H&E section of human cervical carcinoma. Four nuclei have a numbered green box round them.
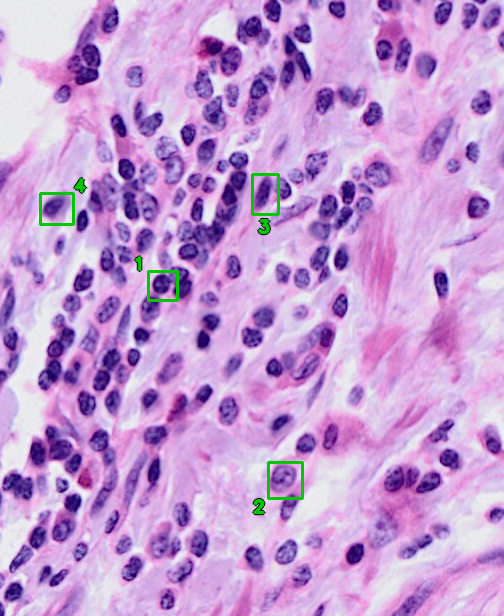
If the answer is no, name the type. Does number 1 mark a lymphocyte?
Yes.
